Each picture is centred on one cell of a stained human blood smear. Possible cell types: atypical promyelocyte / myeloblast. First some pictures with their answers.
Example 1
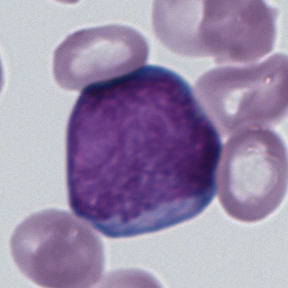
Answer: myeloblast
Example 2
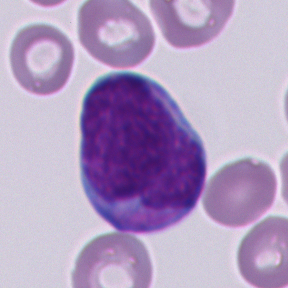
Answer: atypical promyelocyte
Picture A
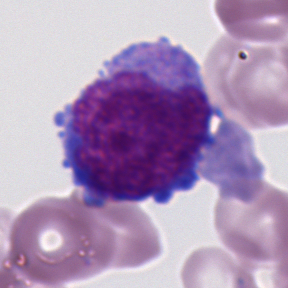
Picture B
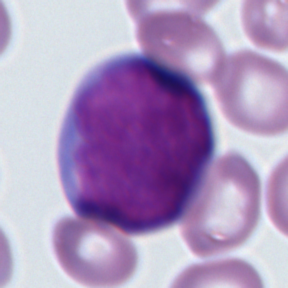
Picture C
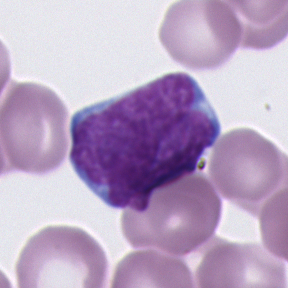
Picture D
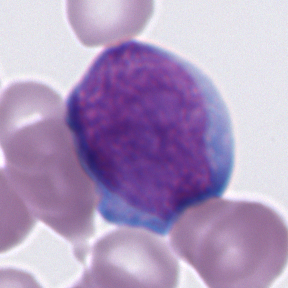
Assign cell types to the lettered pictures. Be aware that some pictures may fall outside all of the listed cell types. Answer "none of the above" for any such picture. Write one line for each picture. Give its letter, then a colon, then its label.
A: myeloblast
B: myeloblast
C: myeloblast
D: myeloblast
